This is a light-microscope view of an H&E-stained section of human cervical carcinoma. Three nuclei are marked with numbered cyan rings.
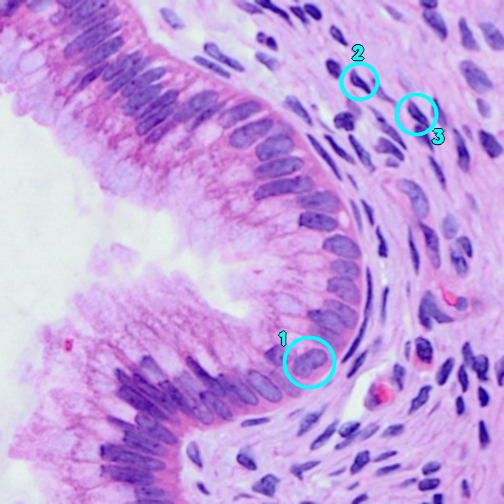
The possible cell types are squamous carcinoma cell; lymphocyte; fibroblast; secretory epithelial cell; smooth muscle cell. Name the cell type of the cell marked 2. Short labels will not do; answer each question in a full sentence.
Among the marked cells, number 2 is a fibroblast.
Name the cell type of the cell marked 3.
The one numbered 3 among the marked cells is a fibroblast.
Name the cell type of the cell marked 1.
The numbered cell 1 is identified here as a secretory epithelial cell.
